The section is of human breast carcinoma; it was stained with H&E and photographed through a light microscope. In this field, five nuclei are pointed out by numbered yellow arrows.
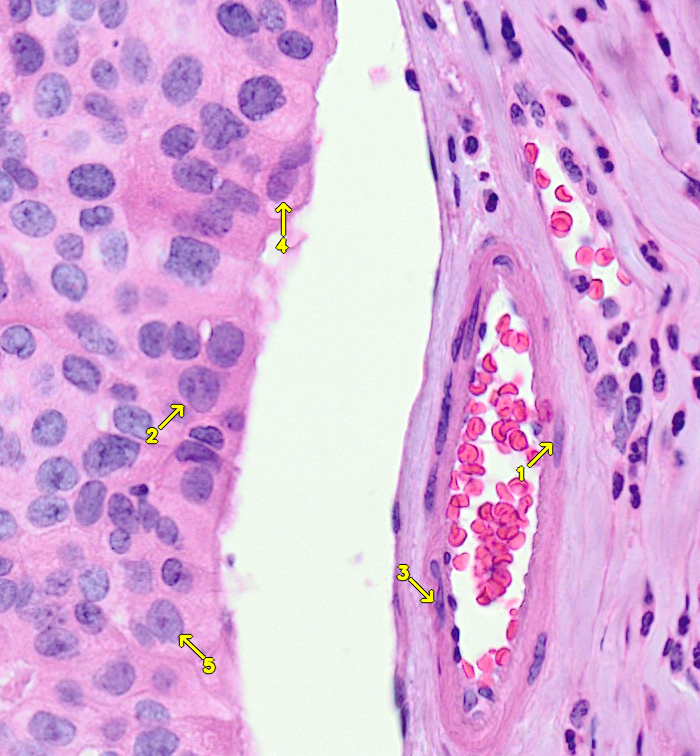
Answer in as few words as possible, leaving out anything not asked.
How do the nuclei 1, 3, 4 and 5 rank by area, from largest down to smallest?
5, 4, 1, 3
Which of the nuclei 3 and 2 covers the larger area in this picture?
2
